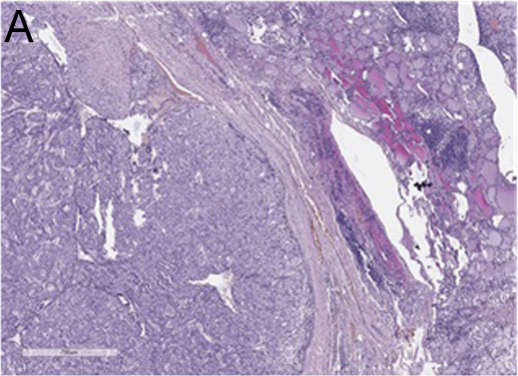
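Low-power view of a thyroid tumor and the adjacent gland. The left half is a solid, densely cellular purple mass arranged in sheets and cords, with only a few small clefts and no colloid. A pale pink band of fibrous tissue runs diagonally and separates the mass from the surrounding thyroid tissue. To the right of the band lie round follicles of varying size filled with pink colloid. Dark purple clusters of small, densely packed cells sit among the follicles. Near the band there is an elongated empty cleft.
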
